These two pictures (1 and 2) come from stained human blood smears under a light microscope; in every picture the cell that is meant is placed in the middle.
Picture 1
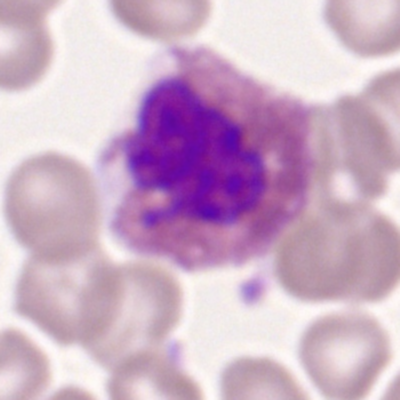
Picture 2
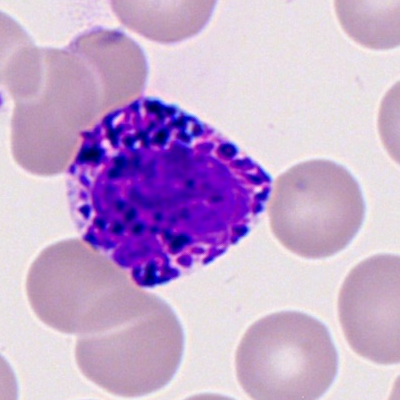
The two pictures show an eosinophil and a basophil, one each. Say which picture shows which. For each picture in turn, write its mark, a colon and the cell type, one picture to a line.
1: eosinophil
2: basophil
